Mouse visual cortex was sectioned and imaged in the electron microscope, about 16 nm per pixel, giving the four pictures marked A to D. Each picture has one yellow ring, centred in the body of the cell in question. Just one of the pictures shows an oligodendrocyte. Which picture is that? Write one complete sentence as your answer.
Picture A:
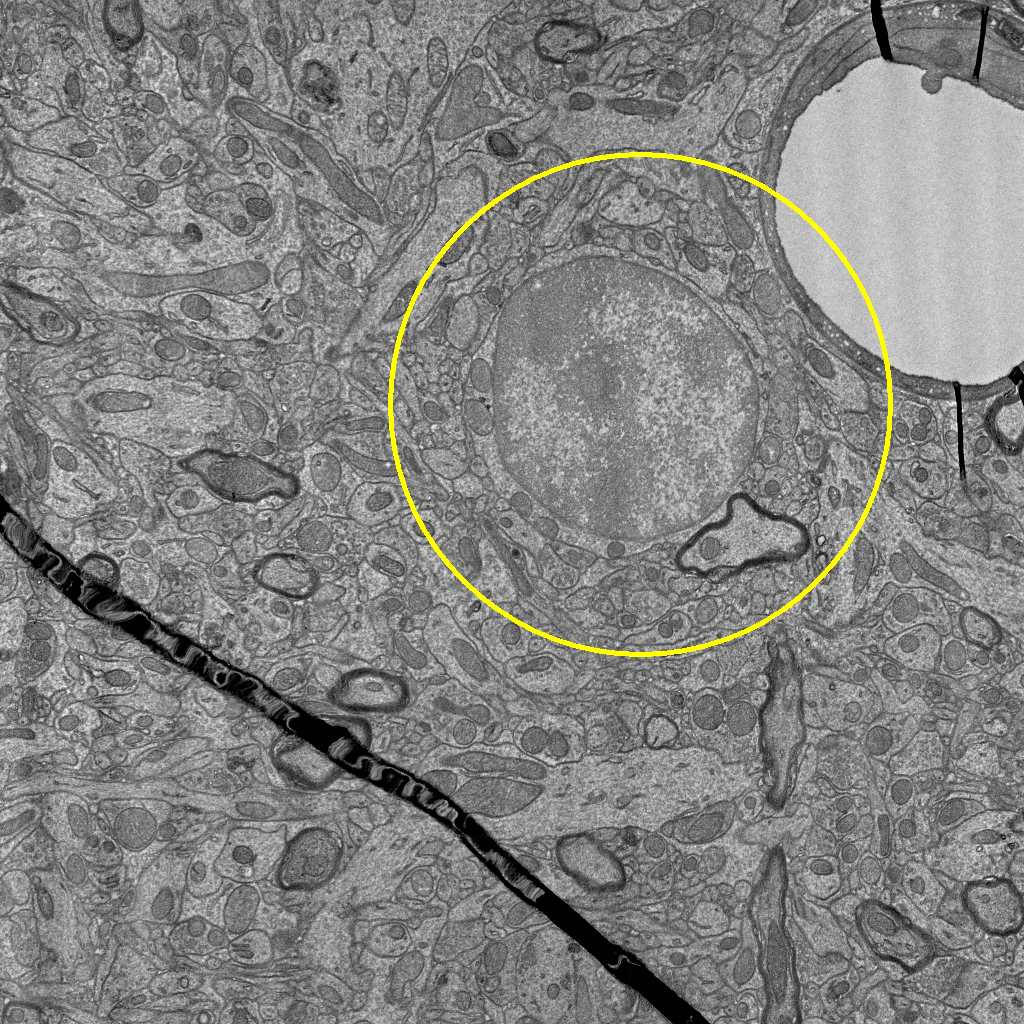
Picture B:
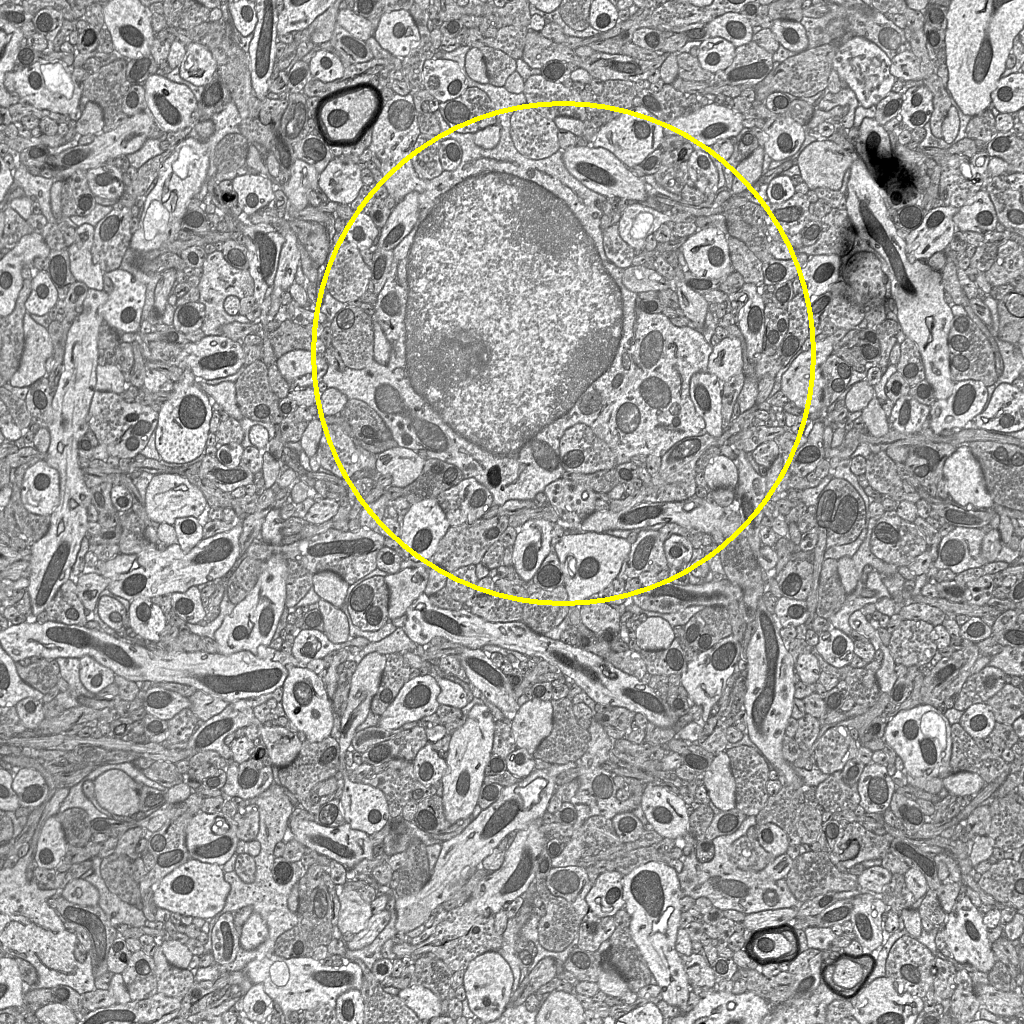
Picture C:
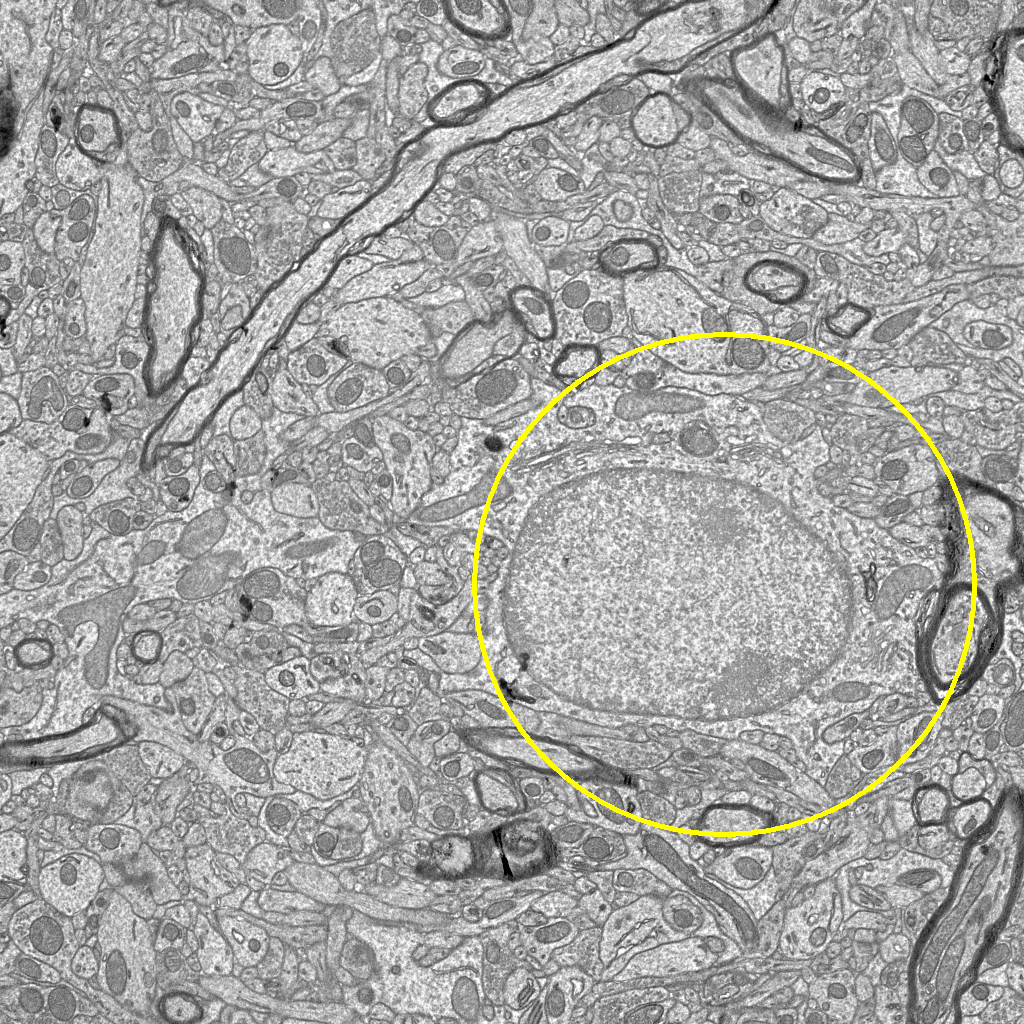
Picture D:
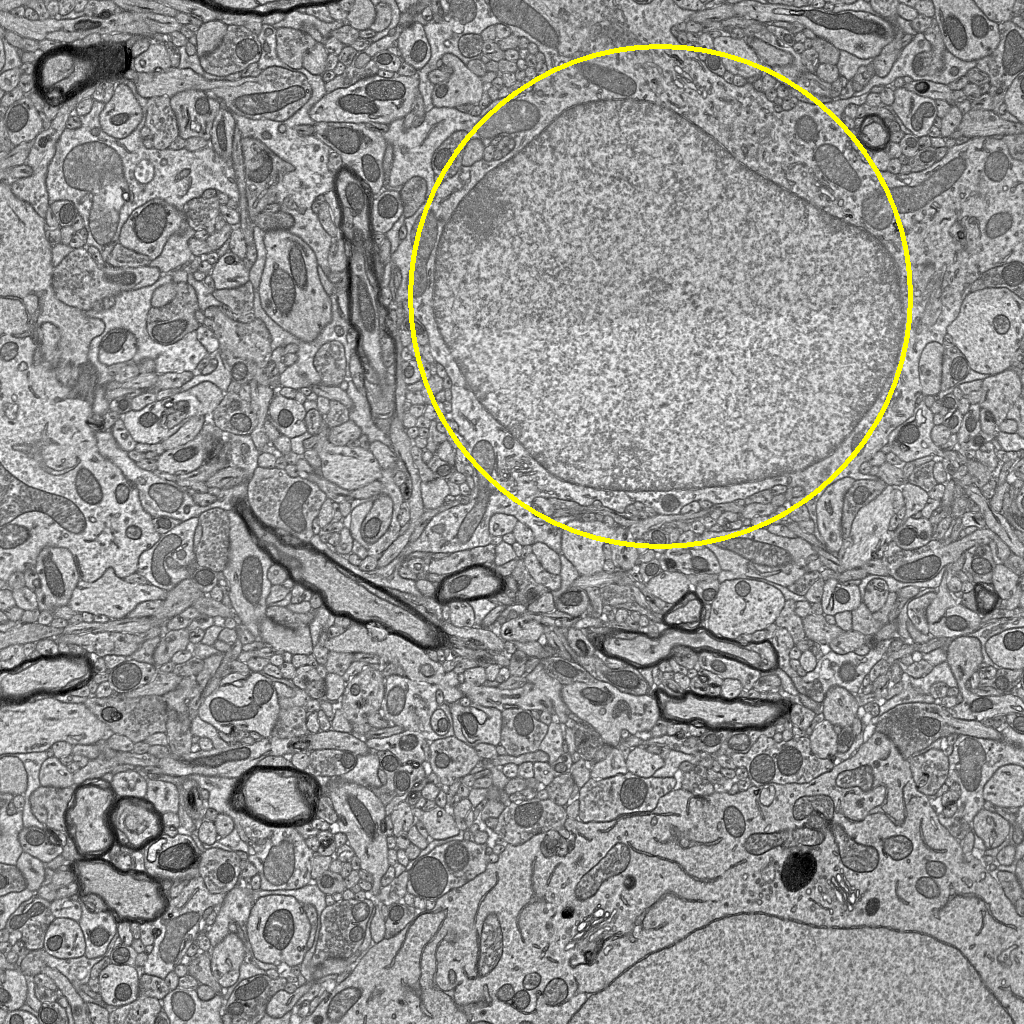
The cell in picture A is the oligodendrocyte.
